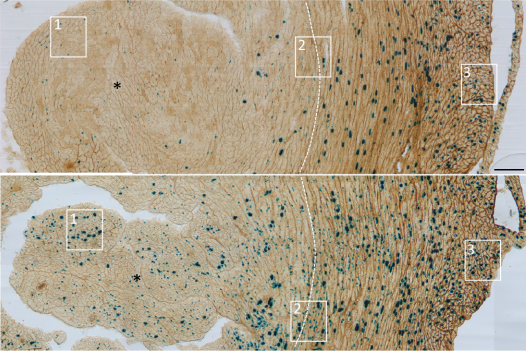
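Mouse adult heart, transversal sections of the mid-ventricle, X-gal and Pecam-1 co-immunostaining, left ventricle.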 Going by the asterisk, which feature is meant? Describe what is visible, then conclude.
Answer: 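The asterisk lies in a broad muscular mass protruding into the cavity at the inner side of the wall.
Hence: papillary muscles.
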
